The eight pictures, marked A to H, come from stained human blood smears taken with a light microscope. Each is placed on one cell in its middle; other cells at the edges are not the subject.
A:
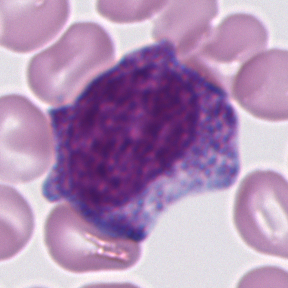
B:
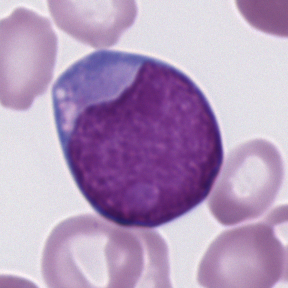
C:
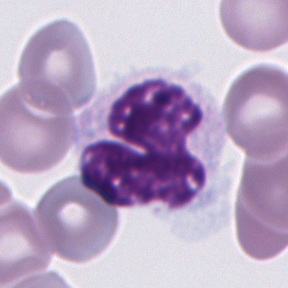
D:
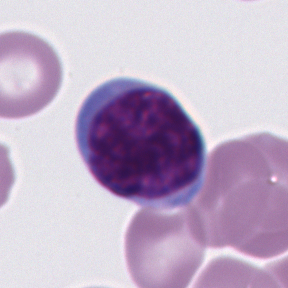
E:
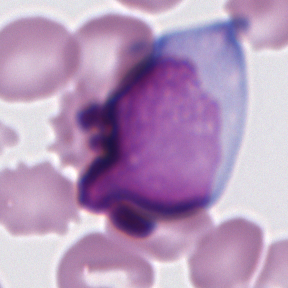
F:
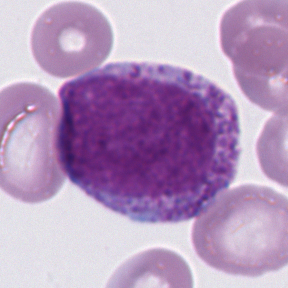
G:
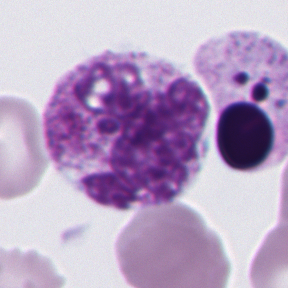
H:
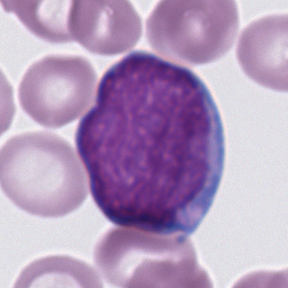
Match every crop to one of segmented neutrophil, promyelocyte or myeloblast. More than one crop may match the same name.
A: promyelocyte
B: myeloblast
C: segmented neutrophil
D: myeloblast
E: myeloblast
F: promyelocyte
G: segmented neutrophil
H: myeloblast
